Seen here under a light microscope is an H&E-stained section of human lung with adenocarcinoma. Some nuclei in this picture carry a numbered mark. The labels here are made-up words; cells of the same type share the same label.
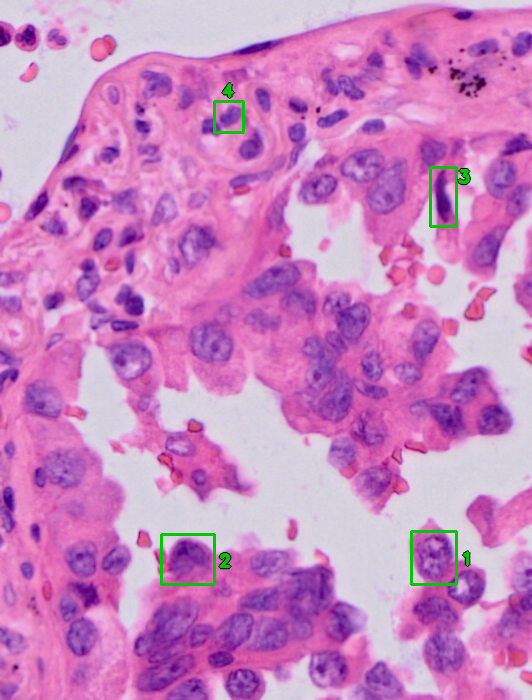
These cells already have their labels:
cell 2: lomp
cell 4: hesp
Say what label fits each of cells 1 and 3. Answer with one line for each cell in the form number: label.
1: lomp
3: lomp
